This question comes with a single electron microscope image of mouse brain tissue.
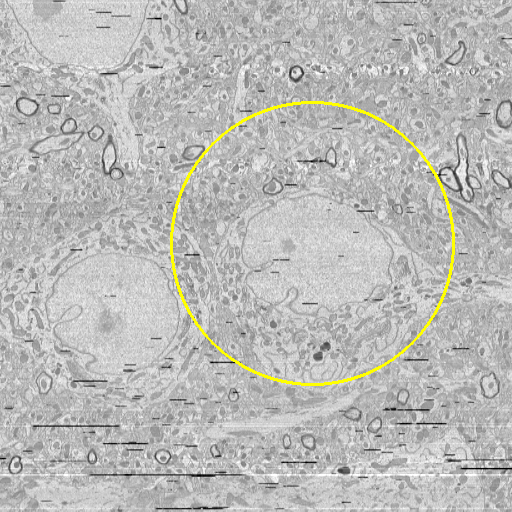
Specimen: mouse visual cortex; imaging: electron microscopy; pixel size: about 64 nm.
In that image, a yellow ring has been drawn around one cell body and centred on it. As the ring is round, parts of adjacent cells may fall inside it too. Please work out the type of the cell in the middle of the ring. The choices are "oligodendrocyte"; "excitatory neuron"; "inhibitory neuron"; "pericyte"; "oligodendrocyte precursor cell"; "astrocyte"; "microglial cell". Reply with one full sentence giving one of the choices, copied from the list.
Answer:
Of the choices, an inhibitory neuron is the cell sitting in the middle of the ring.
